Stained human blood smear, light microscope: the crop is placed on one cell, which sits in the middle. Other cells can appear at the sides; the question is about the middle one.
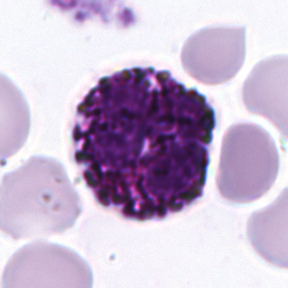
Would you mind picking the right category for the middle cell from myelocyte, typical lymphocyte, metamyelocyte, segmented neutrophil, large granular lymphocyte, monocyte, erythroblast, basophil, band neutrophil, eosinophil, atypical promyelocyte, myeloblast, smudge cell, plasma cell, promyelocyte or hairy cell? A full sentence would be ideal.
The centrally positioned cell in the crop represents a basophil.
